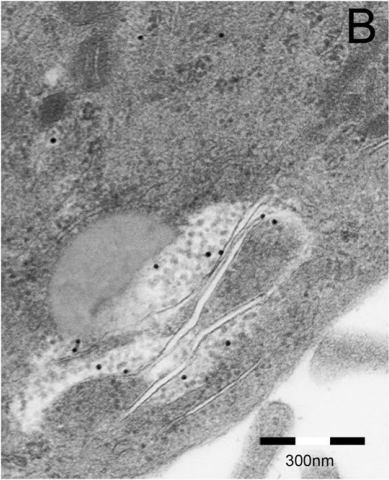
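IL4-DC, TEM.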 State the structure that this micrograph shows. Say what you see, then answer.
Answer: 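Long thin parallel paired membranes run diagonally through the cytoplasm. The membranes border a paler granular cytoplasmic area.
Answer: Autophagic double or multilayered membranes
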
